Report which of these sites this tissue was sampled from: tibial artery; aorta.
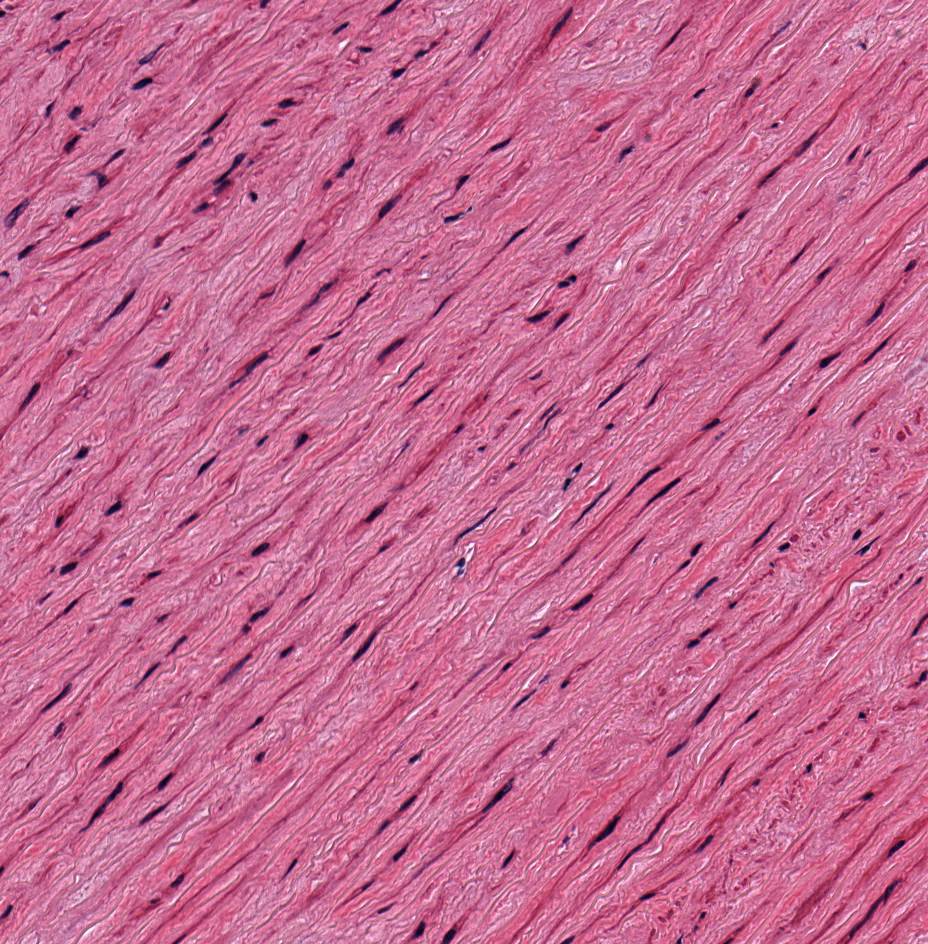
aorta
